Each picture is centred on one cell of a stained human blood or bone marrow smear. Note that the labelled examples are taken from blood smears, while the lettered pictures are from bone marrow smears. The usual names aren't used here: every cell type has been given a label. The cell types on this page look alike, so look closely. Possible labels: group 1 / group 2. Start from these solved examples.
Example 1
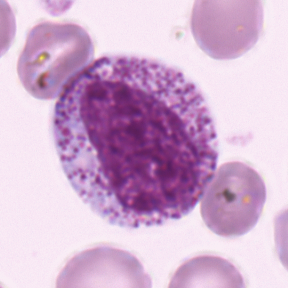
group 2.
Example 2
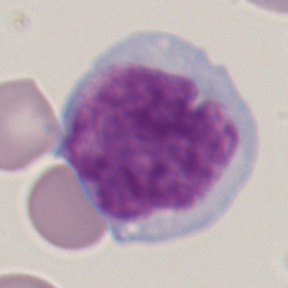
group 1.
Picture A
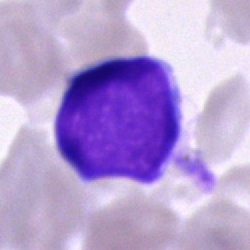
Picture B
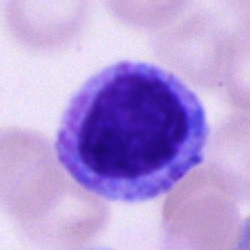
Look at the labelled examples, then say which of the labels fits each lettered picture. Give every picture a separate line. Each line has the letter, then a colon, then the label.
A: group 1.
B: group 2.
